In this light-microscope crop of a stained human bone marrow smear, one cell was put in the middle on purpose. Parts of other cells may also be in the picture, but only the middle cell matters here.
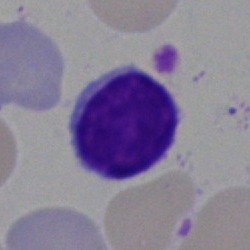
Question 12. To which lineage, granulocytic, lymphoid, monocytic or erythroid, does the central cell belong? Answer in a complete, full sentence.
It is the lymphoid lineage to which the central cell belongs.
